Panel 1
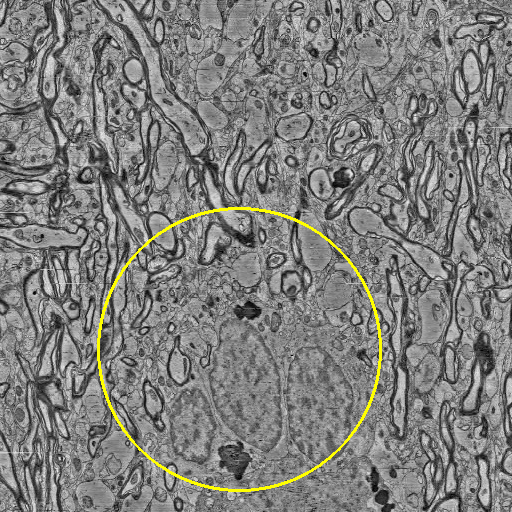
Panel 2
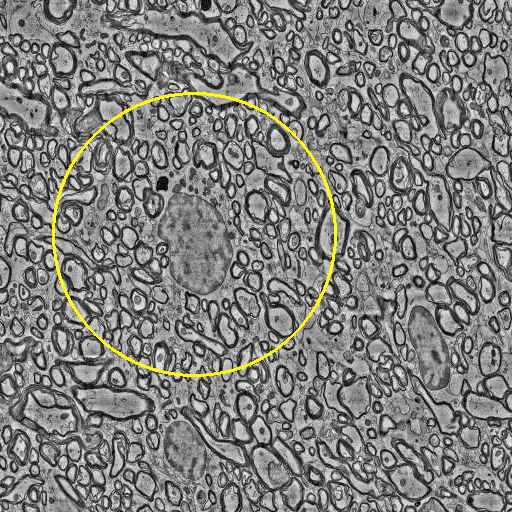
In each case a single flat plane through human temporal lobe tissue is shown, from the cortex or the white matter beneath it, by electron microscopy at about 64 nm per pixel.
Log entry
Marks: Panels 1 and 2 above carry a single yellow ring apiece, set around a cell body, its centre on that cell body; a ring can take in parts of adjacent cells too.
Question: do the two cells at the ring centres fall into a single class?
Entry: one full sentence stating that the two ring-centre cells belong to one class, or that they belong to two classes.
The two ring-centre cells in Panels 1 and 2 belong to one class.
